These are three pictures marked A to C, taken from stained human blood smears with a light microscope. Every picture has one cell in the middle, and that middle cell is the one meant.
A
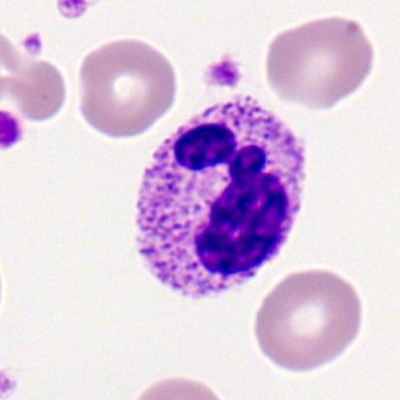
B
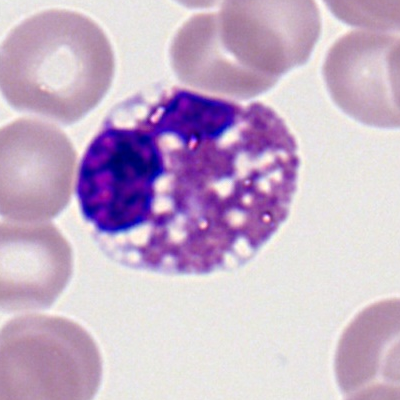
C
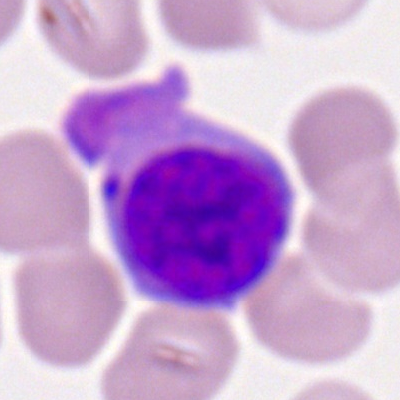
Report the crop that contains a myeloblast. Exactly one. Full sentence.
The requested cell, a myeloblast, is the one in crop C.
